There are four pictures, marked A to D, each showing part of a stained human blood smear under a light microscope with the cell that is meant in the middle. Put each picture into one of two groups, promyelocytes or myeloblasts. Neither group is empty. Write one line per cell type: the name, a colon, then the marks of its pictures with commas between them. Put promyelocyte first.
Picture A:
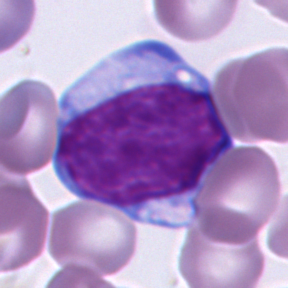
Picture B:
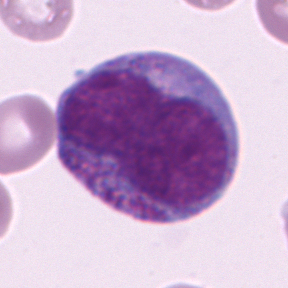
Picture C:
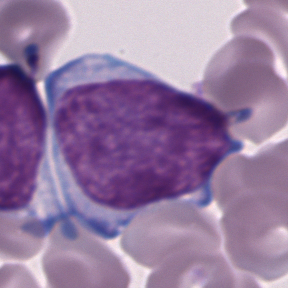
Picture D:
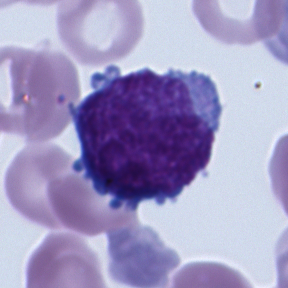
promyelocyte: B
myeloblast: A, C, D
